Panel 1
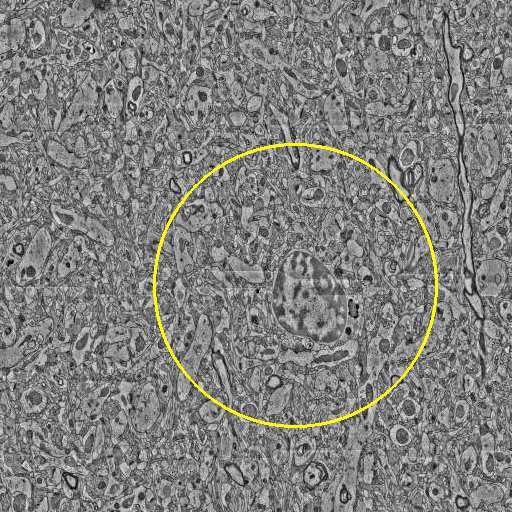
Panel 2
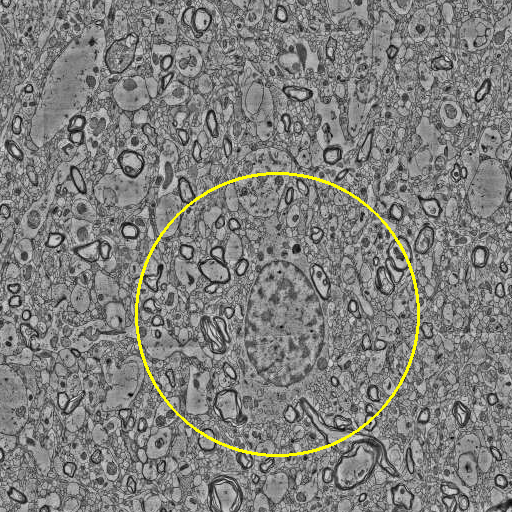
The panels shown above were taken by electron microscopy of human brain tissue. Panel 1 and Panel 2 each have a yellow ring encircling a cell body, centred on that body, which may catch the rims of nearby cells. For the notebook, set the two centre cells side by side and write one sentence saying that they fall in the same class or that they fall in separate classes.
The centred cells of Panel 1 and Panel 2 fall in separate classes.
